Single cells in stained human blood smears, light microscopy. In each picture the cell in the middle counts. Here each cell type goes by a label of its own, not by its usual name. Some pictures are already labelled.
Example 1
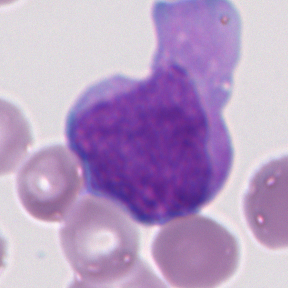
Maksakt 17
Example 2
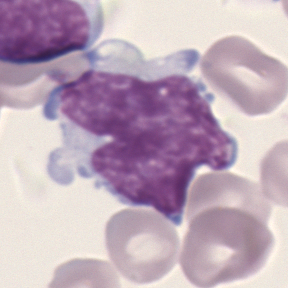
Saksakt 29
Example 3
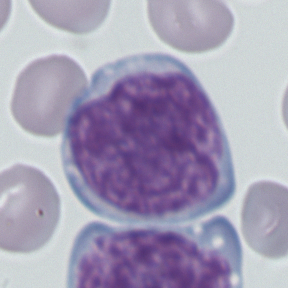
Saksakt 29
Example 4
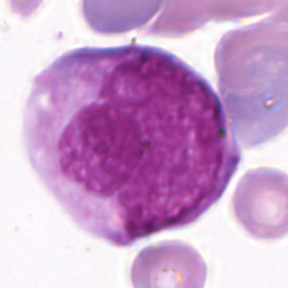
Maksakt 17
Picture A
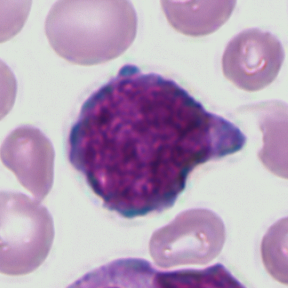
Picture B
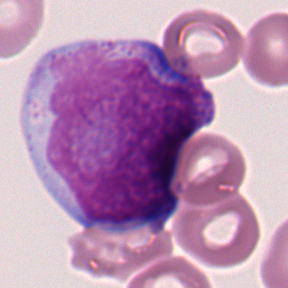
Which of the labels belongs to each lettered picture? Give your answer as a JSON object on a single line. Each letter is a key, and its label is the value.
{"A": "Maksakt 17", "B": "Maksakt 17"}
